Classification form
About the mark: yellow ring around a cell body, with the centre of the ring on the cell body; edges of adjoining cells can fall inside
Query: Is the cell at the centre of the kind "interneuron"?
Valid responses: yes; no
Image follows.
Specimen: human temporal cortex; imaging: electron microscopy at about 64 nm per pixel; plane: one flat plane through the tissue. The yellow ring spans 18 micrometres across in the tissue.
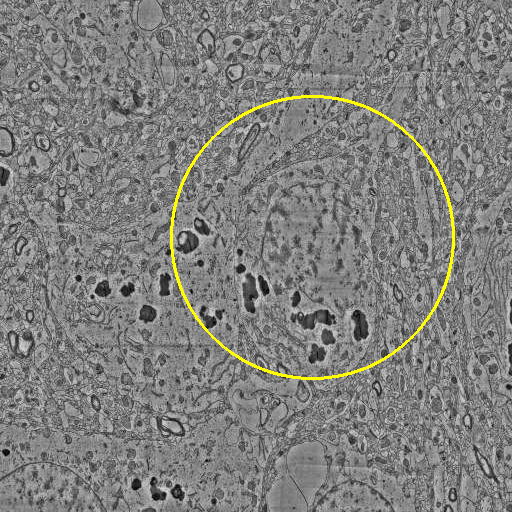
yes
